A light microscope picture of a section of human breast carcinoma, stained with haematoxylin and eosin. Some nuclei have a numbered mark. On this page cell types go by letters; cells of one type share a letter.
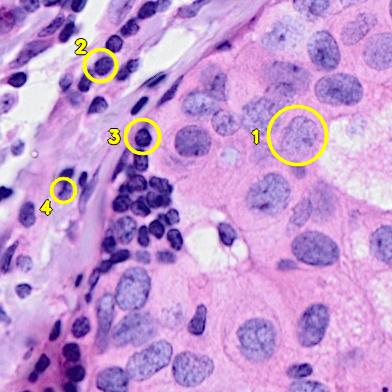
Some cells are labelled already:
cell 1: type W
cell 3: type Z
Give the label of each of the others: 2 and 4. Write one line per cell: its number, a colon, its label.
2: type Z
4: type Z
